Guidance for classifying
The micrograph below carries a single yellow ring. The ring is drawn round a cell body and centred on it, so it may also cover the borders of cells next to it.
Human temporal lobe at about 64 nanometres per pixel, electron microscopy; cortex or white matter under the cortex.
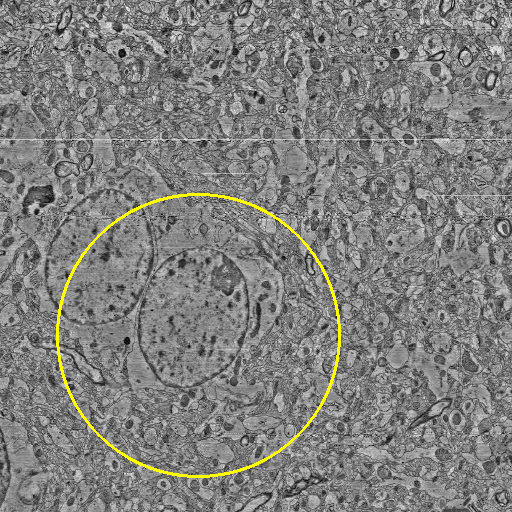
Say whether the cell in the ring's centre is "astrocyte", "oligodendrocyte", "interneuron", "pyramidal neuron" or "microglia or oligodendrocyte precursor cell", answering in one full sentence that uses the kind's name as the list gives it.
Within the yellow ring, an astrocyte is the cell whose body sits at the centre.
